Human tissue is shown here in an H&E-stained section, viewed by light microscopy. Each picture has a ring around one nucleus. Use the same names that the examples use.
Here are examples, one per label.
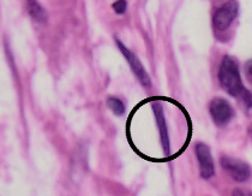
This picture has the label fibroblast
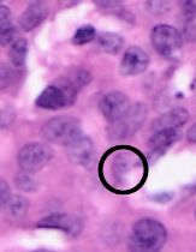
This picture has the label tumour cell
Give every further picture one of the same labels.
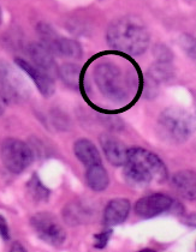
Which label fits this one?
tumour cell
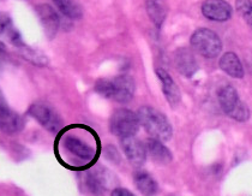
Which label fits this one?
tumour cell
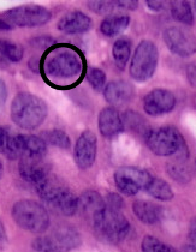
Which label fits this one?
tumour cell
